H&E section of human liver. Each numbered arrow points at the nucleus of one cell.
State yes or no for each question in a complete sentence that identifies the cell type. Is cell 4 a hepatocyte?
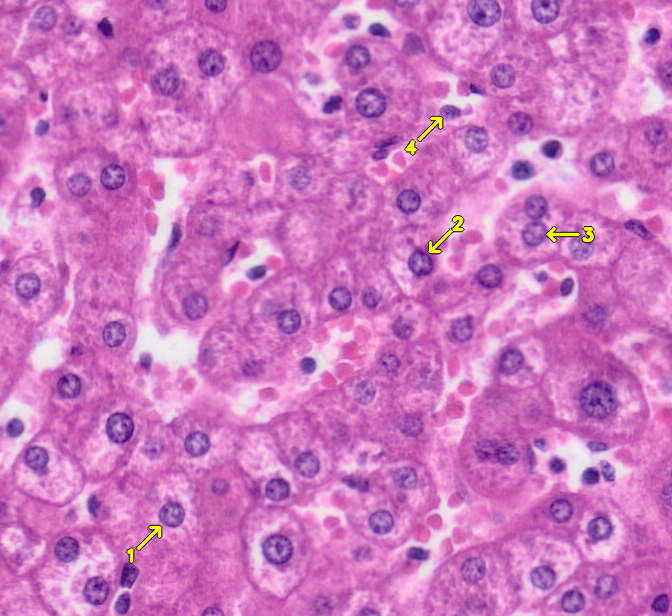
No, it is a lymphocyte, not a hepatocyte, at number 4.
